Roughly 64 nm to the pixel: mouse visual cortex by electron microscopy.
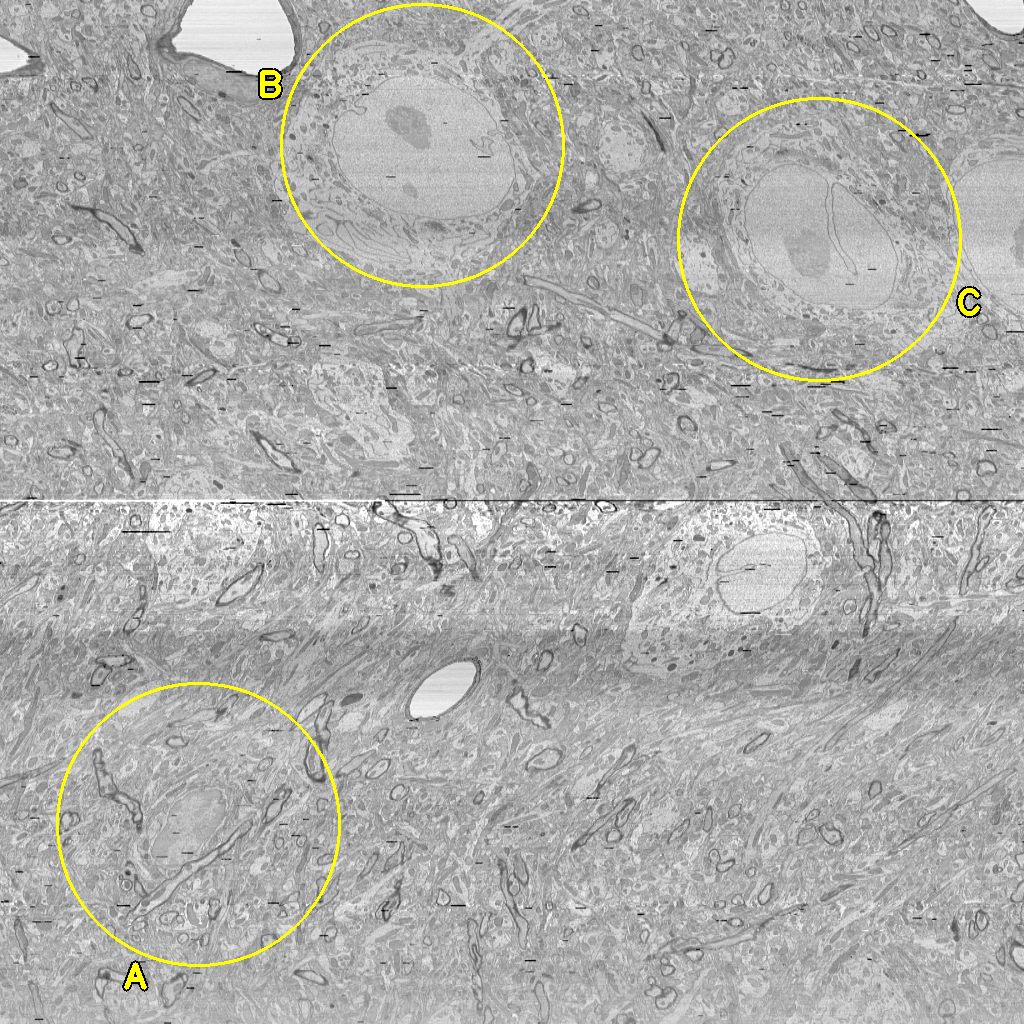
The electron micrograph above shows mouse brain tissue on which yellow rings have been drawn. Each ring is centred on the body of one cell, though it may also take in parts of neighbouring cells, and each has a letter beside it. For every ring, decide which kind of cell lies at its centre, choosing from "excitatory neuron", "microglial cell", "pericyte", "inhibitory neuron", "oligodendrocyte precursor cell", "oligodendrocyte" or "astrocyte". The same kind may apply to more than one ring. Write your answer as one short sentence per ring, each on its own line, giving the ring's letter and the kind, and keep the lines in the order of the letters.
Ring A is centred on a microglial cell.
Ring B is centred on an excitatory neuron.
Ring C is centred on an inhibitory neuron.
